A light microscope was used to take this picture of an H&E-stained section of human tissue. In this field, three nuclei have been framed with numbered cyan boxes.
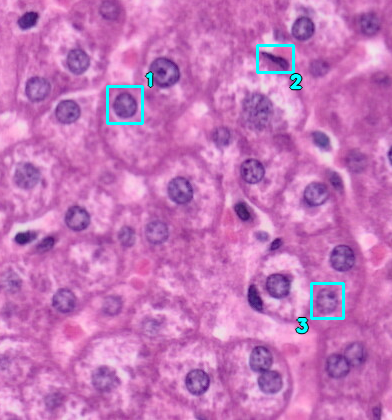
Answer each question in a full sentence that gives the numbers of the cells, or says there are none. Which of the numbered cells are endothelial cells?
Among the marked cells, an endothelial cell is found only at number 2.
